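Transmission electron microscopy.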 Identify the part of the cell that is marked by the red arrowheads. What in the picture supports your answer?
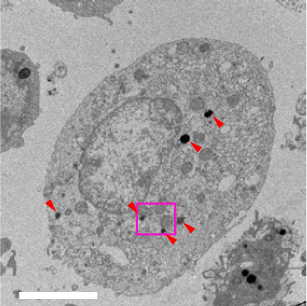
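A few red arrowheads point to small dense round bodies in the cytoplasm. That points to this answer: lipid droplets.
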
